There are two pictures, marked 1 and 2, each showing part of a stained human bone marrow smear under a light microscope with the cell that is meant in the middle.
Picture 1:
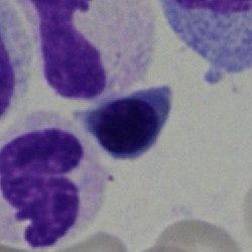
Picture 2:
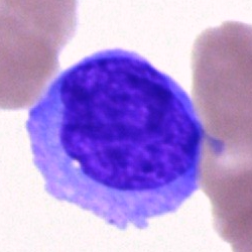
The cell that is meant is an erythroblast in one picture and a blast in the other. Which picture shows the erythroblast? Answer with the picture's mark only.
1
